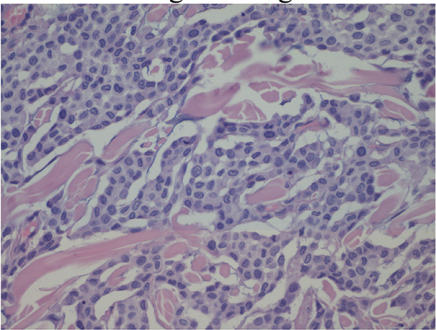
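Dense sheets and cords of closely packed round cells fill the field, each with a round to oval dark purple nucleus and scant pale lilac cytoplasm. The cell sheets are split into islands by wavy bands of pink fibrous stroma, with a few clear gaps between them.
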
